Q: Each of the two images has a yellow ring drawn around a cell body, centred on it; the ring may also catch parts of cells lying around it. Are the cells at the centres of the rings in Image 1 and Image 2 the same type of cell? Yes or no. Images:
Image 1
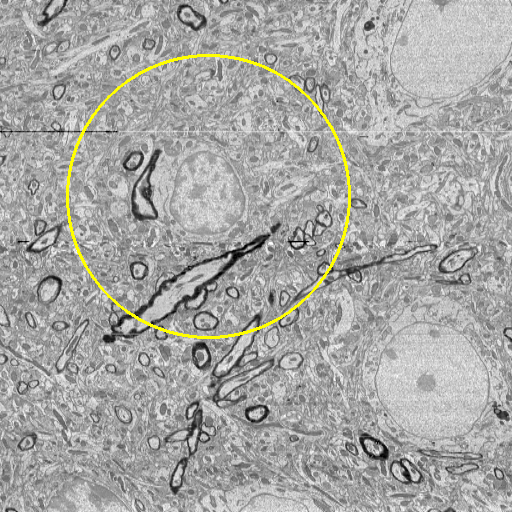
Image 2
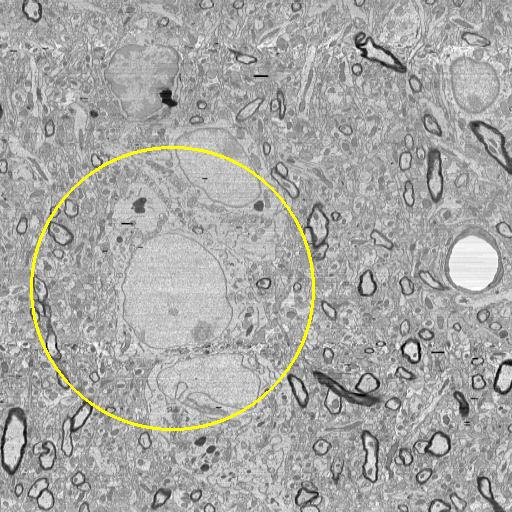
no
